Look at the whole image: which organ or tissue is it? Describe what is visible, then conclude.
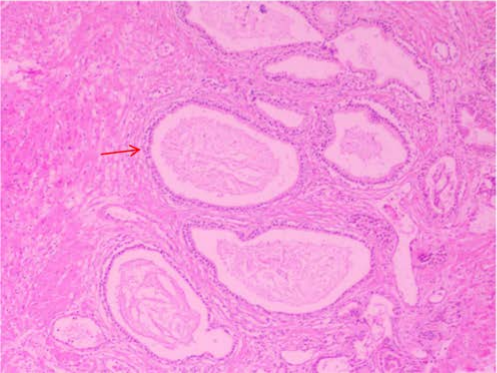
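Glands set in a pink fibromuscular stroma. Gland linings are orderly, without crowding of cells. The answer: Benign prostate.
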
